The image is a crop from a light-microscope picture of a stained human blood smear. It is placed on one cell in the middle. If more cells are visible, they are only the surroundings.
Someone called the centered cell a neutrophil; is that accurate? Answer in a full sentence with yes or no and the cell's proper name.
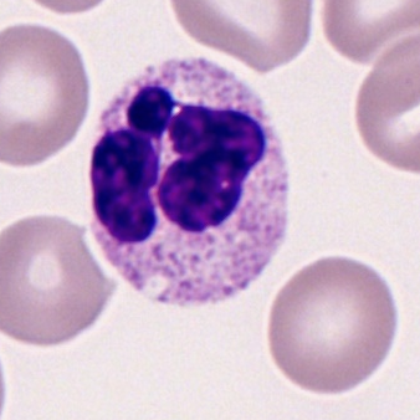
Yes, this crop has a neutrophil at its centre.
